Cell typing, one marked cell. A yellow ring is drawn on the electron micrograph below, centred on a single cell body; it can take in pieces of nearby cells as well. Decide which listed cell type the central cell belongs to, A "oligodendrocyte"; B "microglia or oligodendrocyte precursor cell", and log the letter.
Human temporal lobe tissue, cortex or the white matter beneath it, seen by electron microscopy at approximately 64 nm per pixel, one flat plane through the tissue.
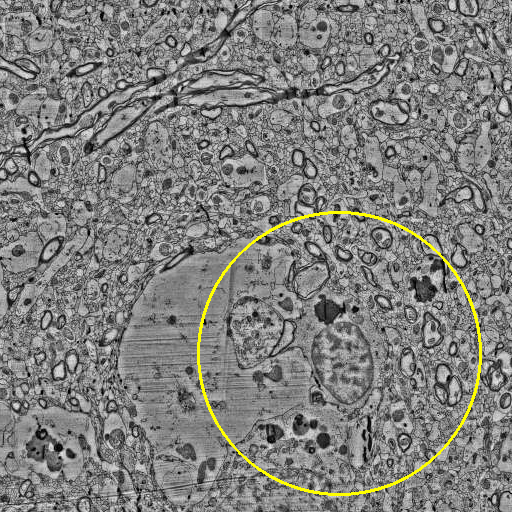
A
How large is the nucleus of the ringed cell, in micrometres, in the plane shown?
Roughly 5 by 4 micrometres in this plane, for the nucleus of the ringed cell.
